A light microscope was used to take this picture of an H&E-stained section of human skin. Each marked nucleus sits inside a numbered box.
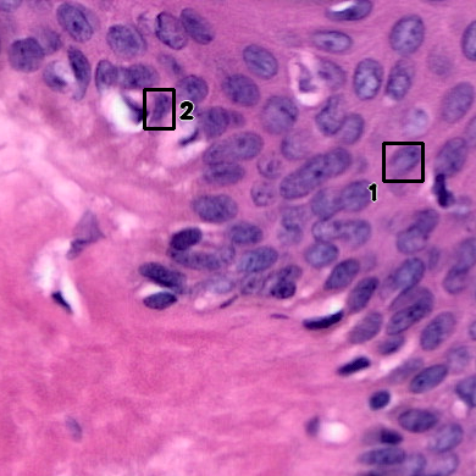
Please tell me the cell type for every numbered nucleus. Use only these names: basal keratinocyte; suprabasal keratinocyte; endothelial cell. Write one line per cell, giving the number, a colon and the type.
1: suprabasal keratinocyte
2: basal keratinocyte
